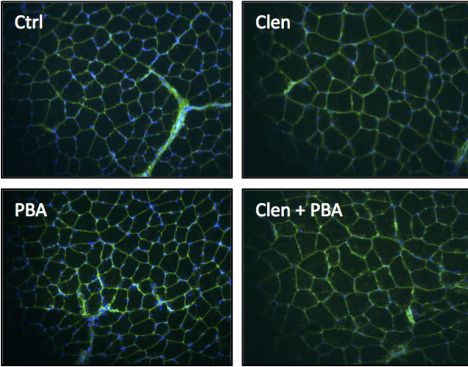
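Four fluorescent fields show skeletal muscle fibres cut in cross-section, packed edge to edge like a mosaic. Each fibre appears as a dark, polygonal profile with rounded corners, bounded by a thin bright green line at its surface, so that the whole field looks like a green net. Small blue nuclei lie at the edges of the fibres, pressed against the green borders, with none seen in the centres of the fibres. In places the green lines thicken into broader bright bands that run between groups of fibres, marking connective tissue between bundles. The fibres vary modestly in size within each field.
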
